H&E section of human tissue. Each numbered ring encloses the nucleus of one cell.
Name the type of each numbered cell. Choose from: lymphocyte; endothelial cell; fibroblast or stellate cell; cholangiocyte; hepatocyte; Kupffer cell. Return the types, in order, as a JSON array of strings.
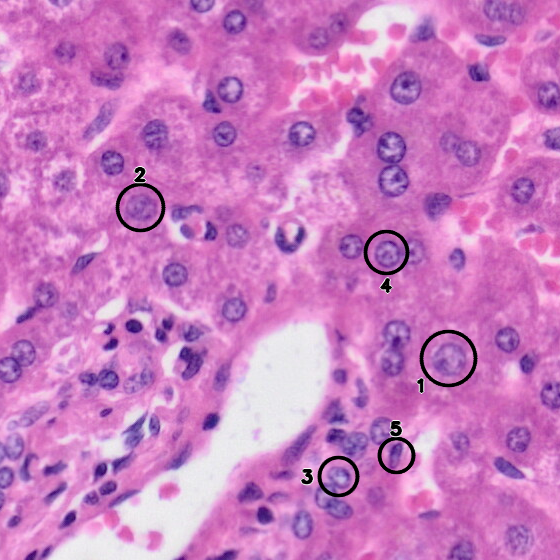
["hepatocyte", "hepatocyte", "cholangiocyte", "hepatocyte", "fibroblast or stellate cell"]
